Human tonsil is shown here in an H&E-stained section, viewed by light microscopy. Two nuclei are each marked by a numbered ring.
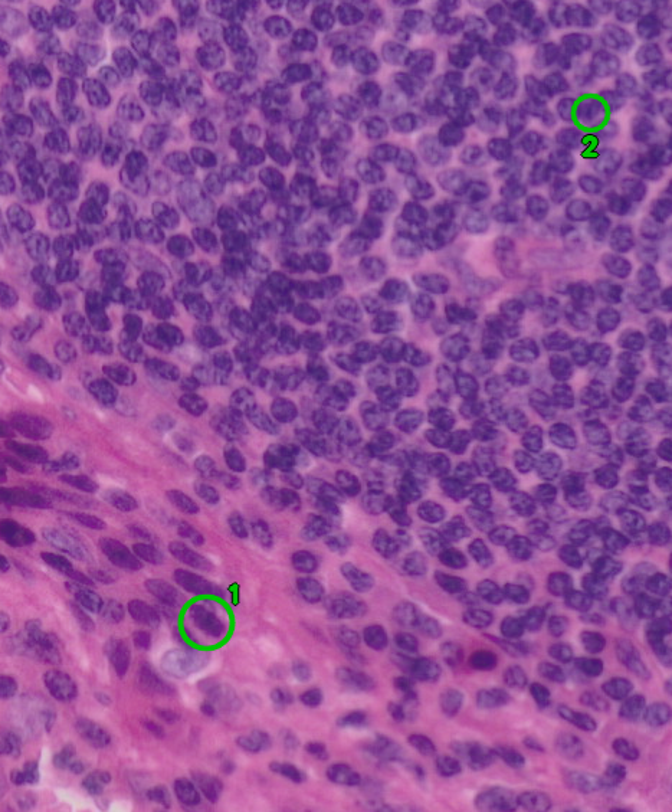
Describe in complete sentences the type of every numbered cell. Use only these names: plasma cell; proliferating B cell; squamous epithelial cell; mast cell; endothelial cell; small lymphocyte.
Cell 1 is a squamous epithelial cell. Cell 2 is a small lymphocyte.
